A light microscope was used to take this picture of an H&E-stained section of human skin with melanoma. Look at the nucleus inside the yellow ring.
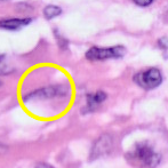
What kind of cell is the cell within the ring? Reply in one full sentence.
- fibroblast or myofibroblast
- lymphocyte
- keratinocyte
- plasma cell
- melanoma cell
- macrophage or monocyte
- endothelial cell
Students should answer that the cell within the ring is an endothelial cell.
